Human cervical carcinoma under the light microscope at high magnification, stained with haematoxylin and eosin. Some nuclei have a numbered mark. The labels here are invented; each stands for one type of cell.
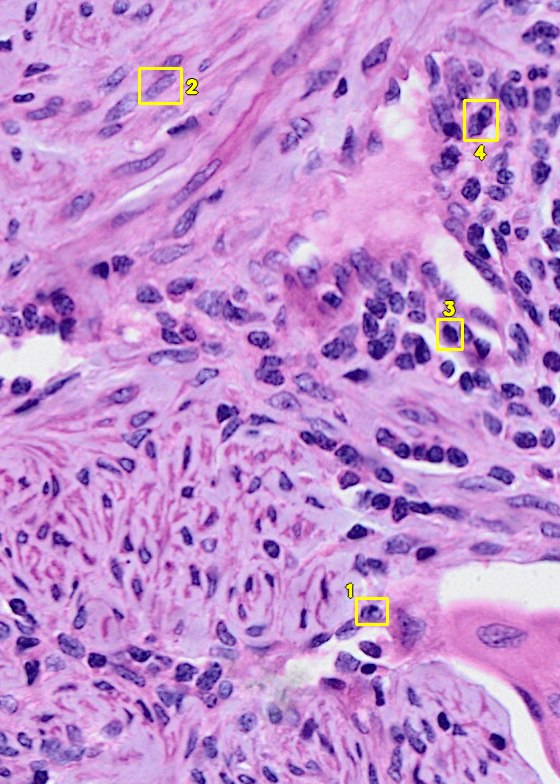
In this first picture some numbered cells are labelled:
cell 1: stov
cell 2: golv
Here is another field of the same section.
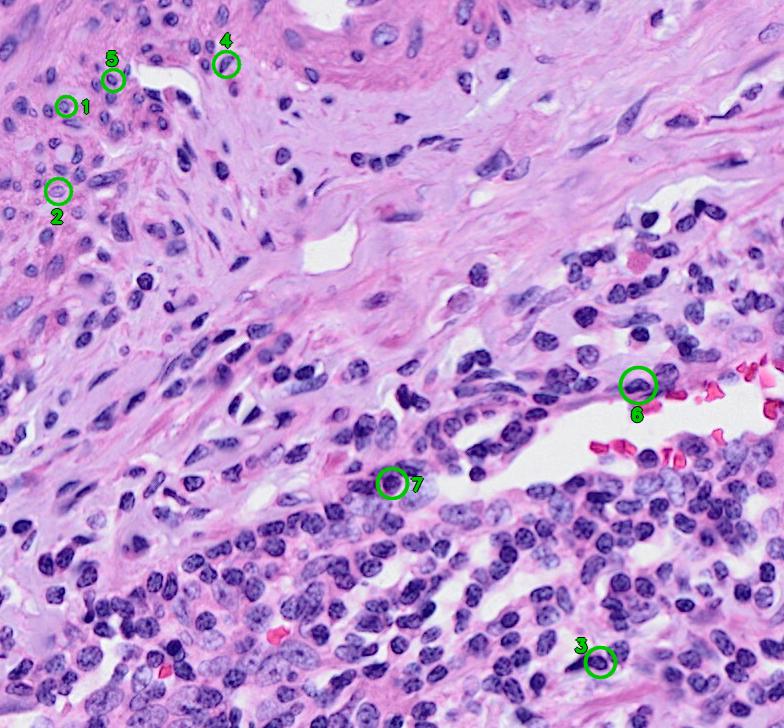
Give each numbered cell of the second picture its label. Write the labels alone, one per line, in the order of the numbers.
golv
golv
stov
golv
golv
stov
stov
